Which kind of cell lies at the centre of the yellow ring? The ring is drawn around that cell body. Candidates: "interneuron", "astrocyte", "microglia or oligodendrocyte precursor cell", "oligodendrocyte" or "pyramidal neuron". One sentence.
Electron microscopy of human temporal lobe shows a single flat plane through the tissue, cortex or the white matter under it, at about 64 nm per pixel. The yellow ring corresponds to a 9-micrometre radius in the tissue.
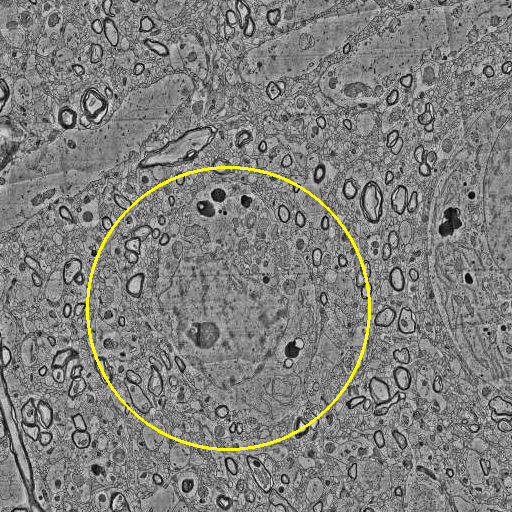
Lying at the centre of the ring is an interneuron.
